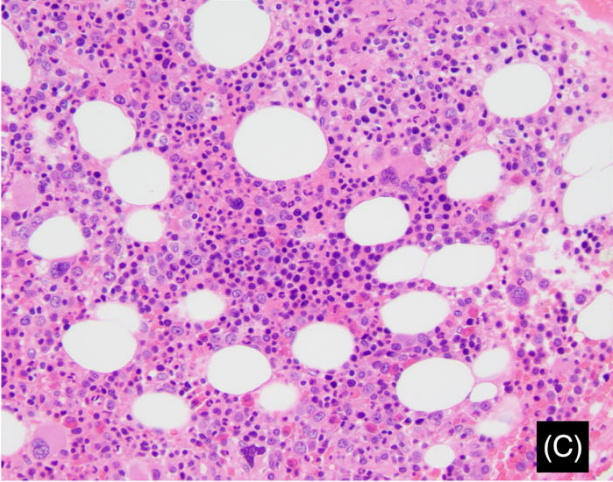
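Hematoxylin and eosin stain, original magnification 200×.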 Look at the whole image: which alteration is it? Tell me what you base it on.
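Hypercellular marrow. Densely packed hematopoietic cells fill most of the space.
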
